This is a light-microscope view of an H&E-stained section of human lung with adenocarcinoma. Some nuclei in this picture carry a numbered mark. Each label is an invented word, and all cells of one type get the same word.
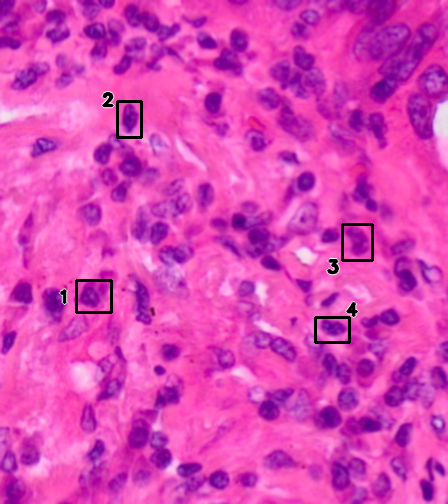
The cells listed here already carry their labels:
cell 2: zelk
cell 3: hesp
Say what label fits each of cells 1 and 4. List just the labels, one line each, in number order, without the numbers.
hesp
zelk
